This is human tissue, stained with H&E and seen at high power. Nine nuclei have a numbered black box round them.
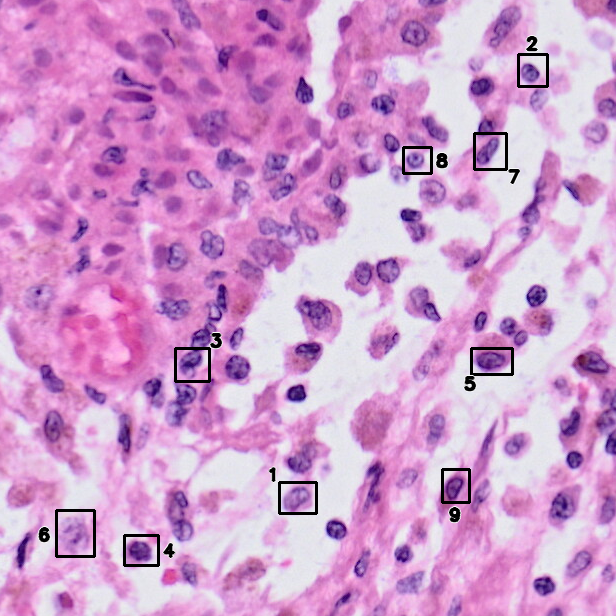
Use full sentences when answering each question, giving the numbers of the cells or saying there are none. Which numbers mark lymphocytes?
The cells that bear the numbers 2, 3 and 8 are lymphocytes.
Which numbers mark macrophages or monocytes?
The numbers 1, 4, 5, 7 and 9 mark cells that are macrophages or monocytes.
